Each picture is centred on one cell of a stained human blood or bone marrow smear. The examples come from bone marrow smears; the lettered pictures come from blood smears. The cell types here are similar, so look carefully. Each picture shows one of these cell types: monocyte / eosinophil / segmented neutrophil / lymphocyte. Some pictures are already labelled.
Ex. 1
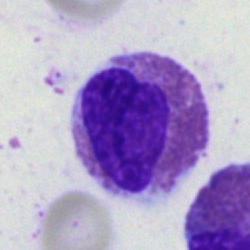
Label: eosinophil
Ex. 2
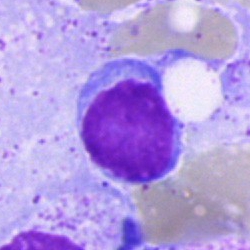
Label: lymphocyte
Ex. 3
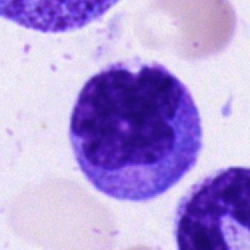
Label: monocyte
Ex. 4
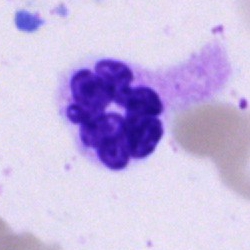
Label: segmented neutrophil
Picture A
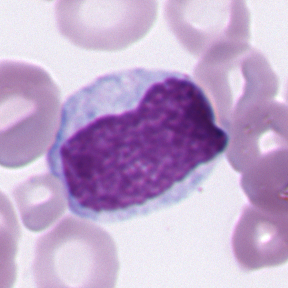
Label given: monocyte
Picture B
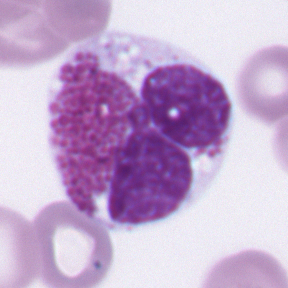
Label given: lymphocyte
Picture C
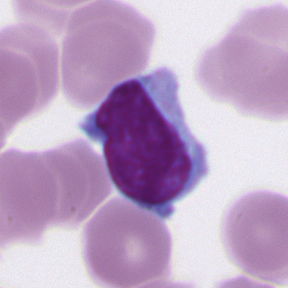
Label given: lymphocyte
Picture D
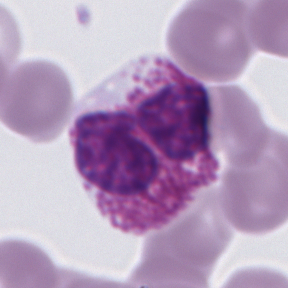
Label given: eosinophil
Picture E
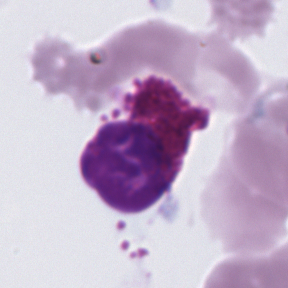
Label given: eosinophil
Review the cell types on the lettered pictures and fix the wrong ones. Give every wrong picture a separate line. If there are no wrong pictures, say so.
B should be eosinophil, not lymphocyte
